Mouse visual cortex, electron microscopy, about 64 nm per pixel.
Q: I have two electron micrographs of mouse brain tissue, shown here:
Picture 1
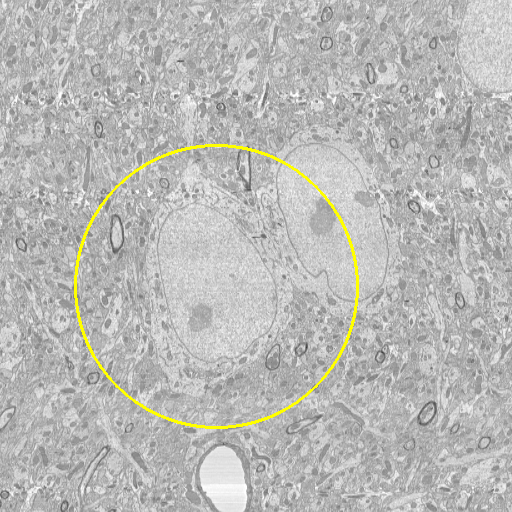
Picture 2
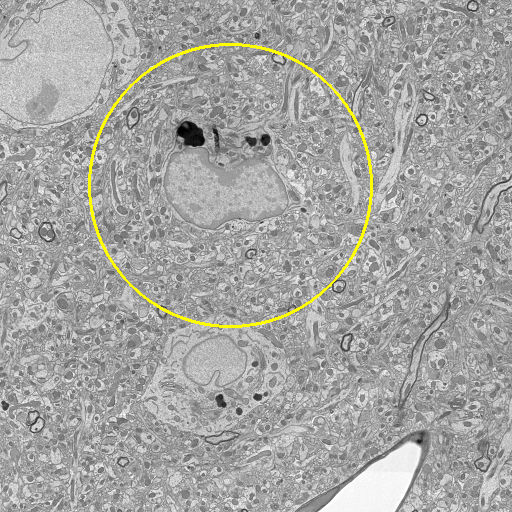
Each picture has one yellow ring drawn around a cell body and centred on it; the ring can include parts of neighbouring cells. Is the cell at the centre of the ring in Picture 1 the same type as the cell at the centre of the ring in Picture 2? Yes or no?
no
